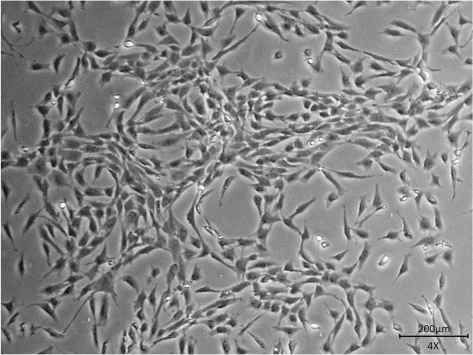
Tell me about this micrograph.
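Most cells are spindle-like, elongated and tapering at both ends, with a few more flattened or star-shaped with several short processes. They lie side by side in loose streams and whorls, leaving irregular empty patches of dish between them. A few small cells are rounded and bright, standing out from the flat, darker spread cells.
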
